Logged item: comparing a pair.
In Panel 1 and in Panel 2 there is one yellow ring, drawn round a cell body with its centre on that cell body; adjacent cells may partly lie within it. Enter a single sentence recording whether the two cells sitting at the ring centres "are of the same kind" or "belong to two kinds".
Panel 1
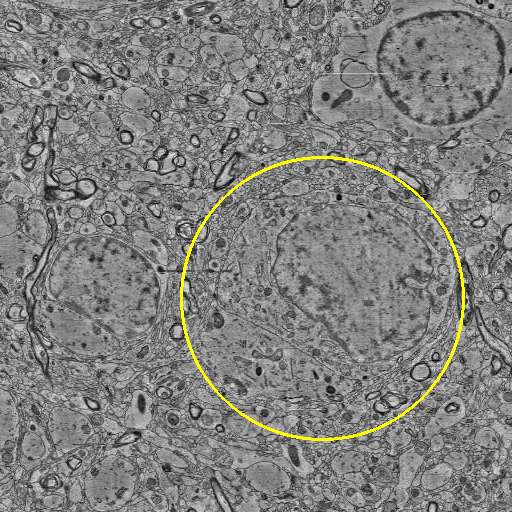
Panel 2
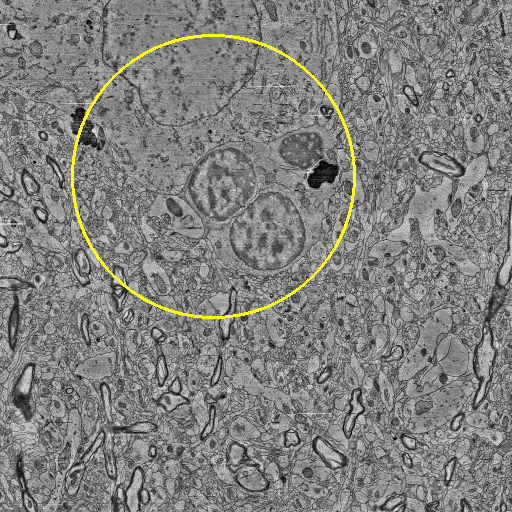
Logged: the cells centred in the rings of Panel 1 and Panel 2 belong to two kinds.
